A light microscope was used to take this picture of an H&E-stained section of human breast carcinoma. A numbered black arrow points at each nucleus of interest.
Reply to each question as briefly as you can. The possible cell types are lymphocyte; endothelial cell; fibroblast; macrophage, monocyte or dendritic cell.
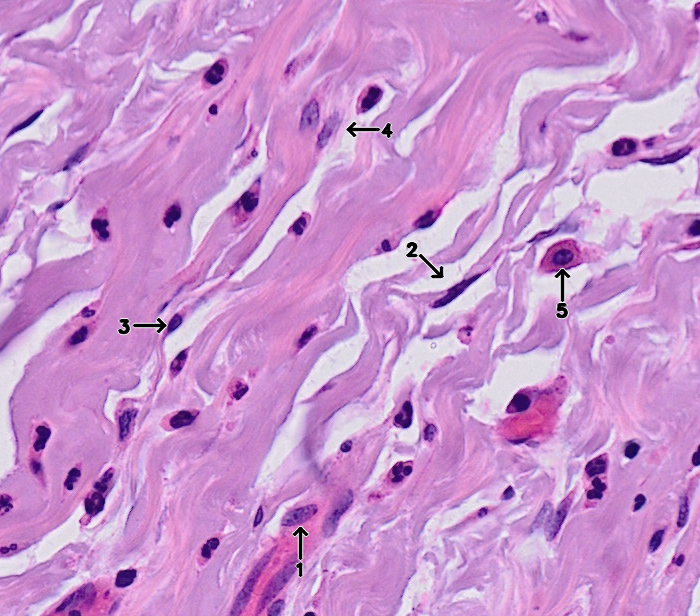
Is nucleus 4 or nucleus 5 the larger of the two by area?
4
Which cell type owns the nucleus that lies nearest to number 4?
fibroblast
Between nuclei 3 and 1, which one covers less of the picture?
3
